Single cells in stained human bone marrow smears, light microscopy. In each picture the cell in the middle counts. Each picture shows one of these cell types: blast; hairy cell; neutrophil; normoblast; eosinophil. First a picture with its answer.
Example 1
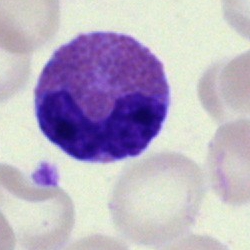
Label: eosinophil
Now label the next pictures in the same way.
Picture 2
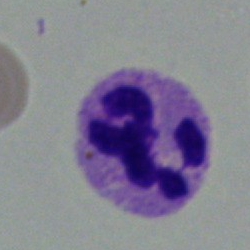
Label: neutrophil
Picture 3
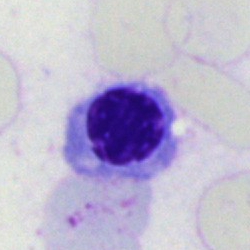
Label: normoblast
